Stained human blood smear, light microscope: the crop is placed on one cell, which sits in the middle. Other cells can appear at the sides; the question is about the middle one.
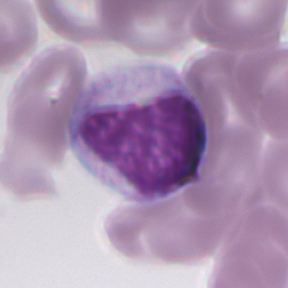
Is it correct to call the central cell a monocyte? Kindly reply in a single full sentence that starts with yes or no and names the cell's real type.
No, the cell placed at the center is a metamyelocyte rather than a monocyte.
